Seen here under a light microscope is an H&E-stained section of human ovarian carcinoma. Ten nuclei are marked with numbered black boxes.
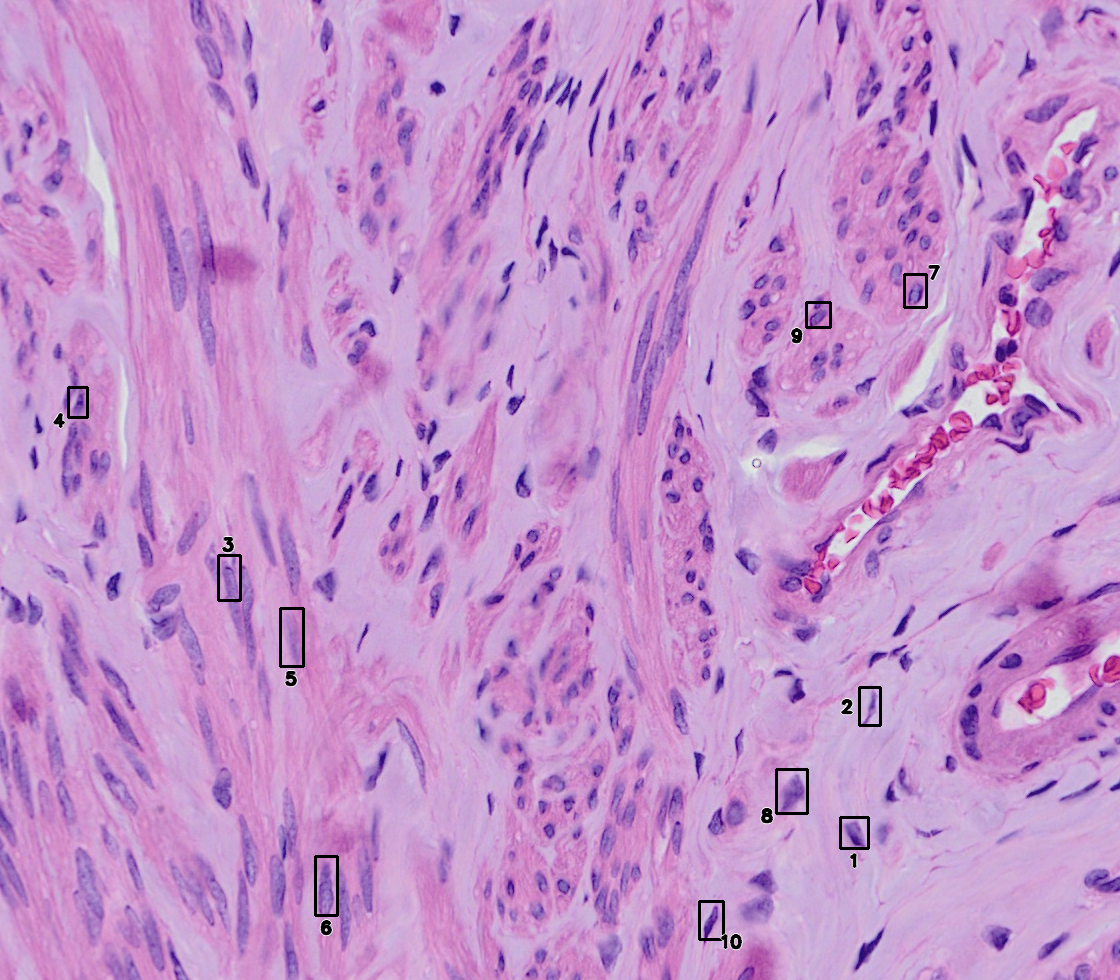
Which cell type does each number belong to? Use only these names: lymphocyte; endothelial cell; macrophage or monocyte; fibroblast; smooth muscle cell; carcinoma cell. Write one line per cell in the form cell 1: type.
cell 1: fibroblast
cell 2: fibroblast
cell 3: smooth muscle cell
cell 4: smooth muscle cell
cell 5: smooth muscle cell
cell 6: smooth muscle cell
cell 7: smooth muscle cell
cell 8: fibroblast
cell 9: smooth muscle cell
cell 10: fibroblast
